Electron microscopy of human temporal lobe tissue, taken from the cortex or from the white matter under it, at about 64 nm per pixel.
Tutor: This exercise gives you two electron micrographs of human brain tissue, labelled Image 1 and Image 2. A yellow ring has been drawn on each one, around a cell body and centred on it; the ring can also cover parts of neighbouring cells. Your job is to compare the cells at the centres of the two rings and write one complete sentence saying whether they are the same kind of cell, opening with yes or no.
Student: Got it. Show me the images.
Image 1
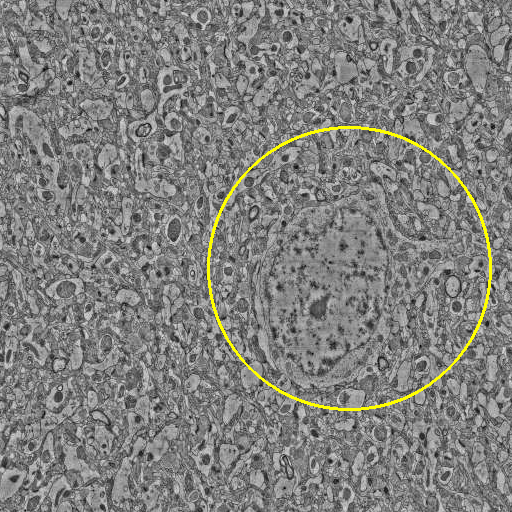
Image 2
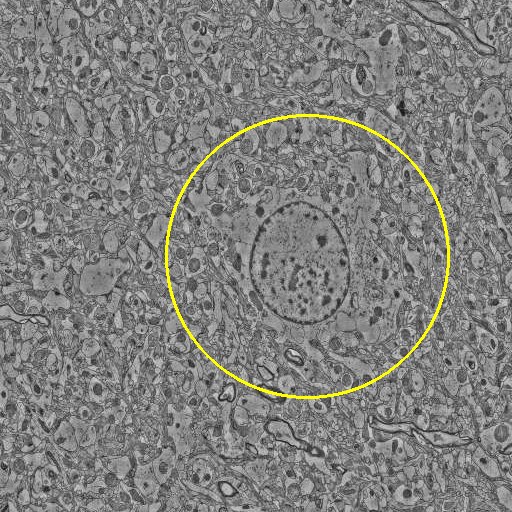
No, the two cells belong to two kinds.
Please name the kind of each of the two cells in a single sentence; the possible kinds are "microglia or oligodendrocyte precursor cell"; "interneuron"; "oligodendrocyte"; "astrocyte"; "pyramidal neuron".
In the first picture the ring is centred on an interneuron, and in the second on an astrocyte.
